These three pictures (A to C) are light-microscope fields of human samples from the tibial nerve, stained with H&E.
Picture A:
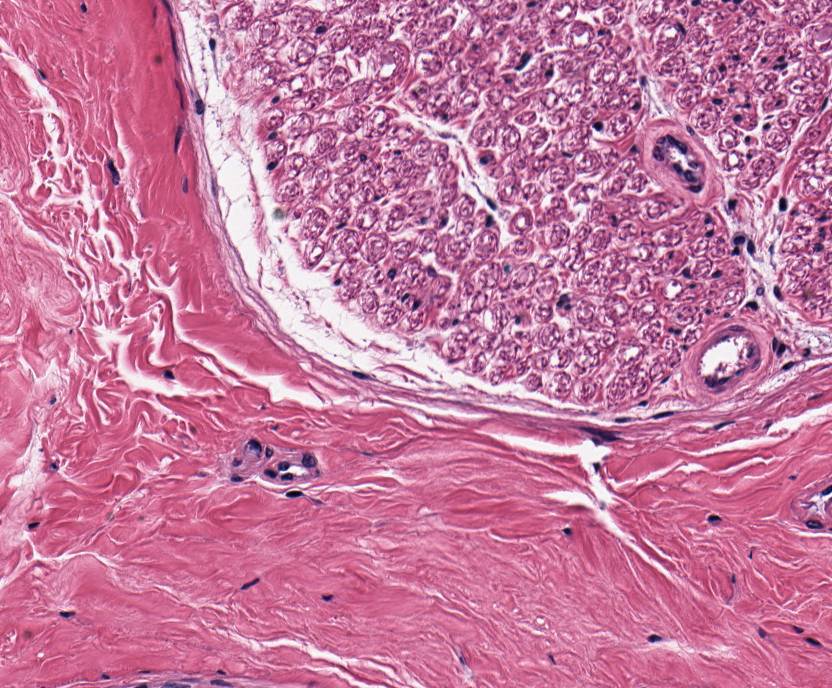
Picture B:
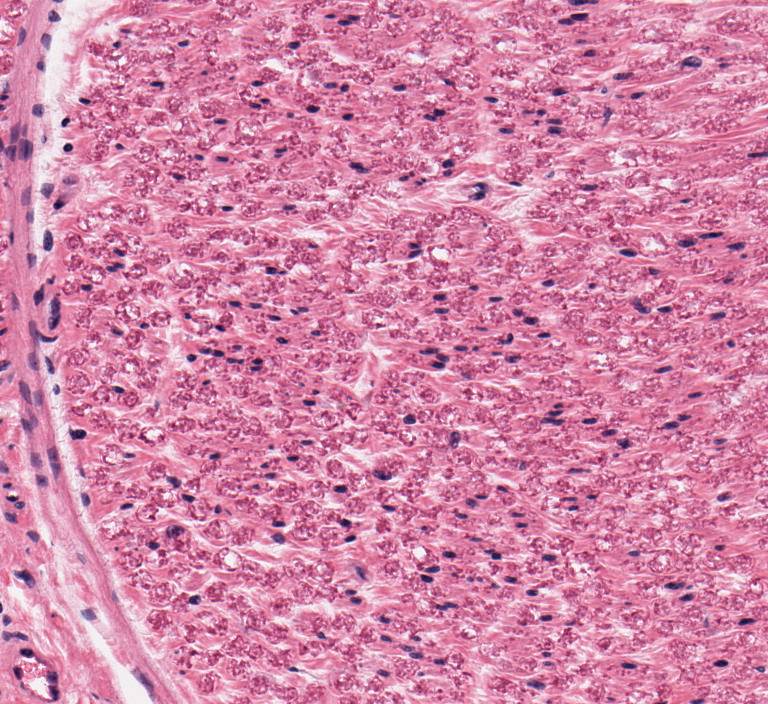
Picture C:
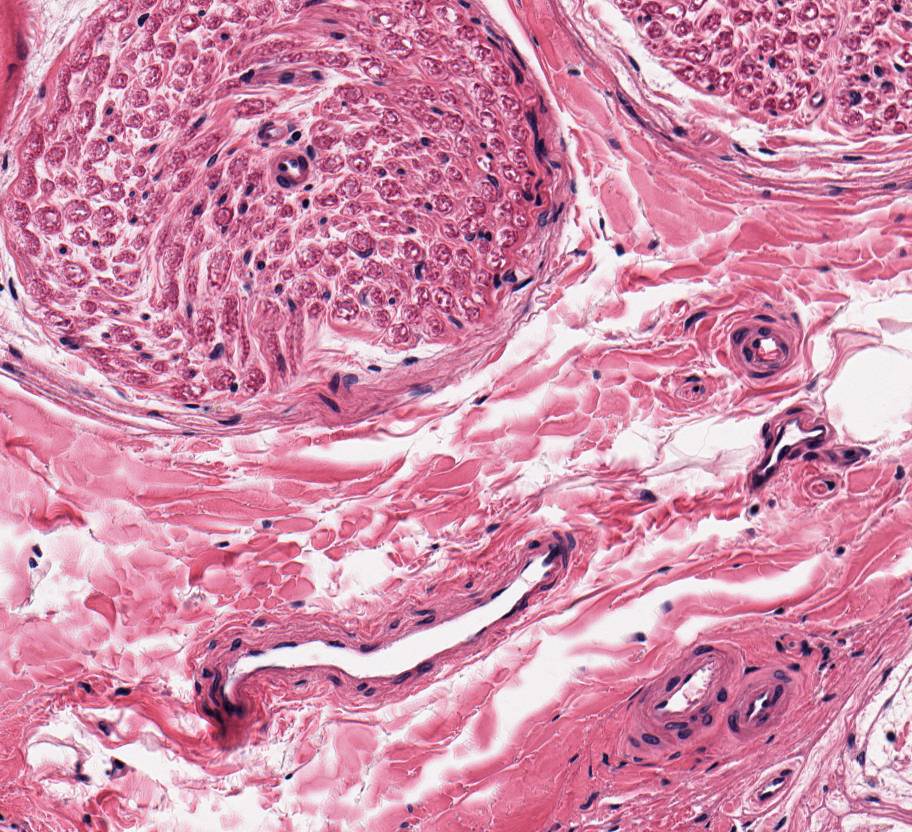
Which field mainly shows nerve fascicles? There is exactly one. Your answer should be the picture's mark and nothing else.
B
